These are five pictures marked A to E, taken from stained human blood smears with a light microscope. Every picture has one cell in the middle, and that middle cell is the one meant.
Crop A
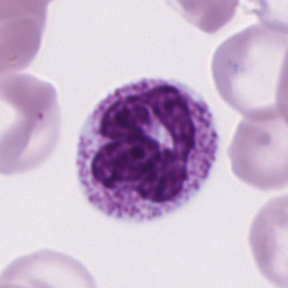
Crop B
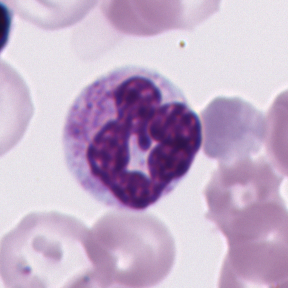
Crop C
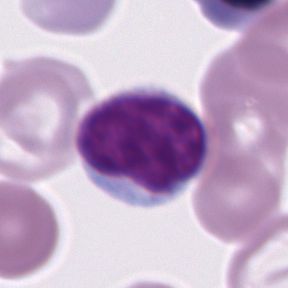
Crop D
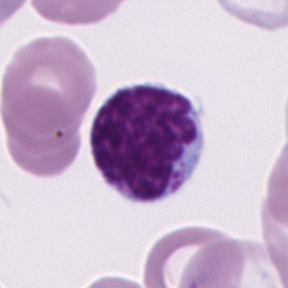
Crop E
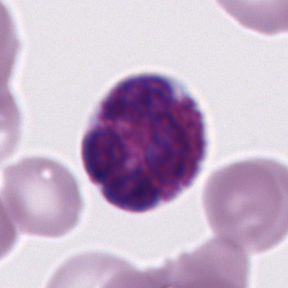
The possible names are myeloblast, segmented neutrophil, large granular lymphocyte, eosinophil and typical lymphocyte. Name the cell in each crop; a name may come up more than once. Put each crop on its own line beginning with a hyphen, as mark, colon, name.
- A: segmented neutrophil
- B: segmented neutrophil
- C: typical lymphocyte
- D: large granular lymphocyte
- E: eosinophil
